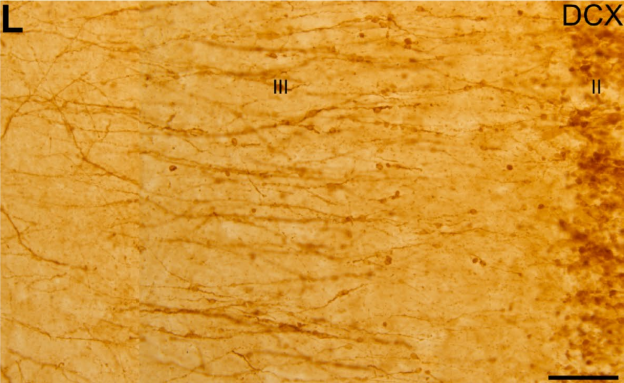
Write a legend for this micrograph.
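On the right a dense band of brown-stained, small, rounded cell bodies is packed tightly together. Some strands branch or converge, and scattered small rounded brown somata lie between them. The background neuropil is pale tan, with no staining of large mature cell bodies.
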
